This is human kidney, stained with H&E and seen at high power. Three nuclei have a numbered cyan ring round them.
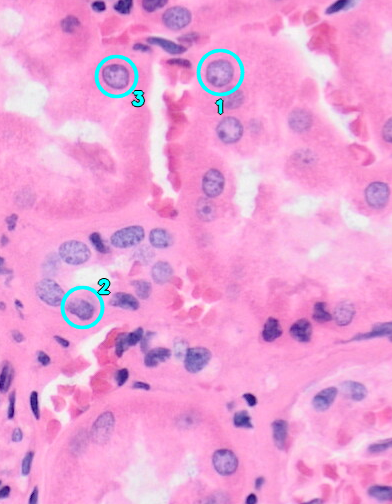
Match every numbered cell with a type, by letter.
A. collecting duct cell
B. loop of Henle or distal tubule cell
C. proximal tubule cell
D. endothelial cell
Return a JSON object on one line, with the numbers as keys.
{"1": "C", "2": "A", "3": "C"}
